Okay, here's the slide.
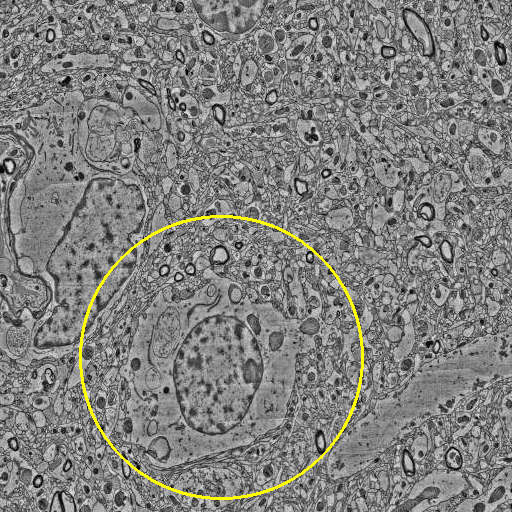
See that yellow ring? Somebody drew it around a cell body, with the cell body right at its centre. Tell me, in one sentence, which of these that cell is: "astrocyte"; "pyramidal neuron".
The cell in the middle of the ring is an astrocyte.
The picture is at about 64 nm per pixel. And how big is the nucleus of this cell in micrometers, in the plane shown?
Roughly 8 by 5 micrometres in this plane, for the nucleus of the ringed cell.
